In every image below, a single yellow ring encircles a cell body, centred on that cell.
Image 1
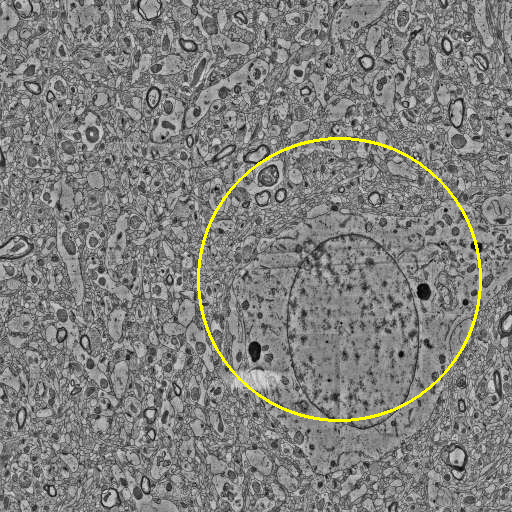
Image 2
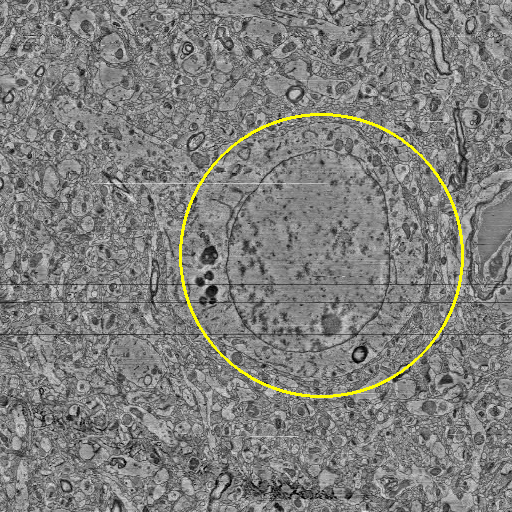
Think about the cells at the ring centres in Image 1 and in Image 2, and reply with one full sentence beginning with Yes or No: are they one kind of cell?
Yes, the cells centred in the rings of Image 1 and Image 2 are one kind of cell.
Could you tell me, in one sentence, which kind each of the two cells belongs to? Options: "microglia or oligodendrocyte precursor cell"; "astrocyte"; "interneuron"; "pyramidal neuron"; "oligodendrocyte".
Both cells are the same kind, each one being a pyramidal neuron.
